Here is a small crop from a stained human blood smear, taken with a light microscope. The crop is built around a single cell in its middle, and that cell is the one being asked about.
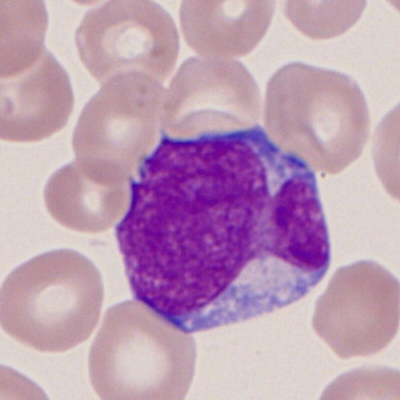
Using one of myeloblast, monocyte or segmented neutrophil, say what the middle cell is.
myeloblast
